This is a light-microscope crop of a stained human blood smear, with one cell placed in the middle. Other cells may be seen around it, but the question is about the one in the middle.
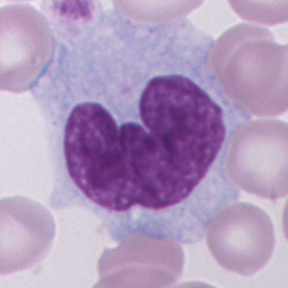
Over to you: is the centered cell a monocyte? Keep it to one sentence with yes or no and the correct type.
Yes, the cell in the middle of the crop is a monocyte.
